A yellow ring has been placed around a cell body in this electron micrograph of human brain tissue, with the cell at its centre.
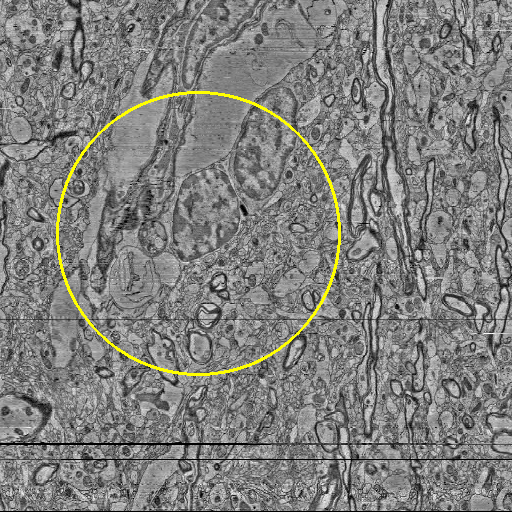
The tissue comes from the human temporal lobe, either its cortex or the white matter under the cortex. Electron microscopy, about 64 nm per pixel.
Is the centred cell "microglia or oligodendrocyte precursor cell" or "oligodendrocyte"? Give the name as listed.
microglia or oligodendrocyte precursor cell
